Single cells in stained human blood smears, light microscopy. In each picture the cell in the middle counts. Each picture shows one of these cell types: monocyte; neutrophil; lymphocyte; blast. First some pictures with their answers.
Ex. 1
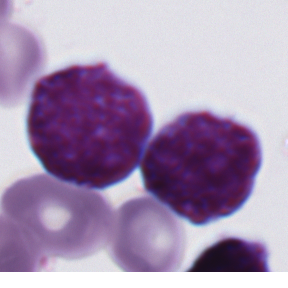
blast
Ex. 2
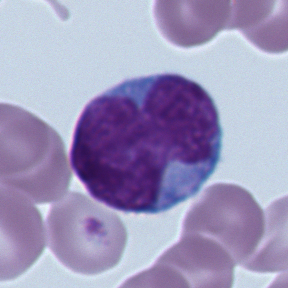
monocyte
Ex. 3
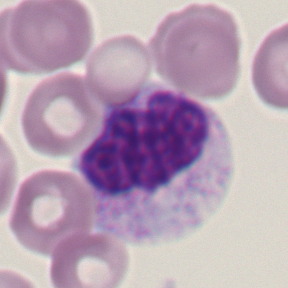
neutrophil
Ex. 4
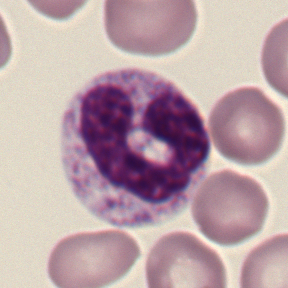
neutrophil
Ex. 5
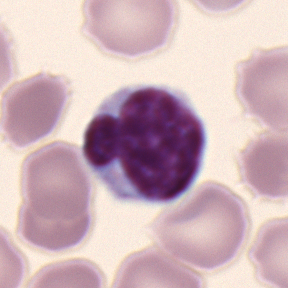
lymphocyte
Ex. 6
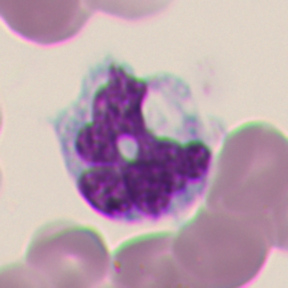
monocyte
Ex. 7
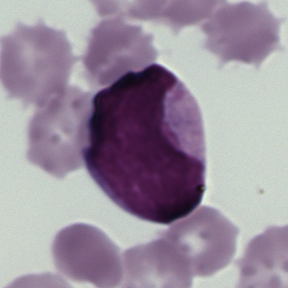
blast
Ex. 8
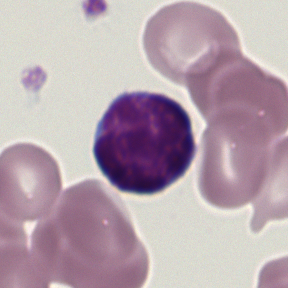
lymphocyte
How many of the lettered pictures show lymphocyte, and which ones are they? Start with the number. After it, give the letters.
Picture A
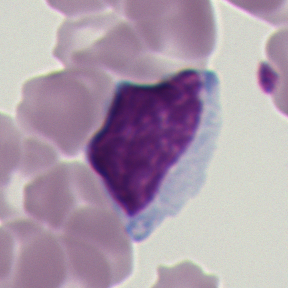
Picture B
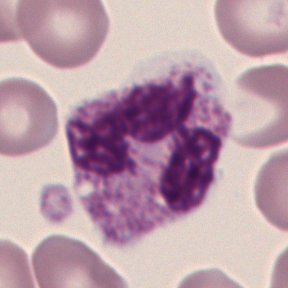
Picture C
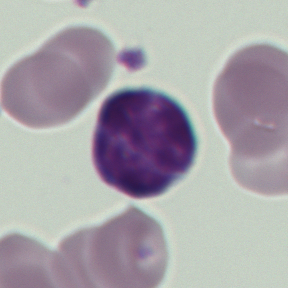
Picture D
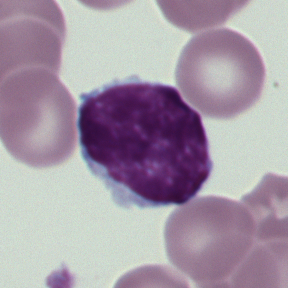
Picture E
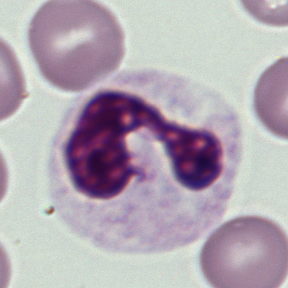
3: A, C, D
